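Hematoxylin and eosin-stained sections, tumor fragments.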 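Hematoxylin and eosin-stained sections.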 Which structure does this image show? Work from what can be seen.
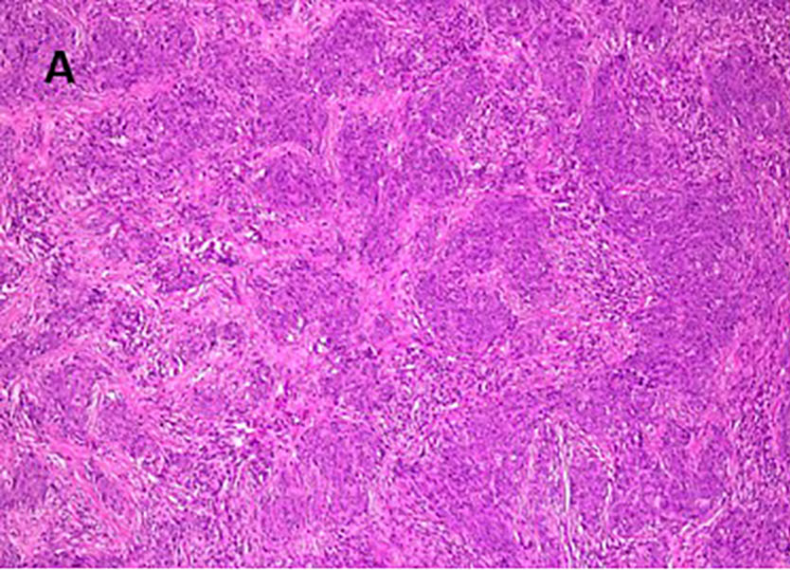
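Rounded, densely cellular purple nests of varying size fill the field. The nests are separated by thin pale pink bands. On this evidence: lobular and alveolar-like structures.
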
